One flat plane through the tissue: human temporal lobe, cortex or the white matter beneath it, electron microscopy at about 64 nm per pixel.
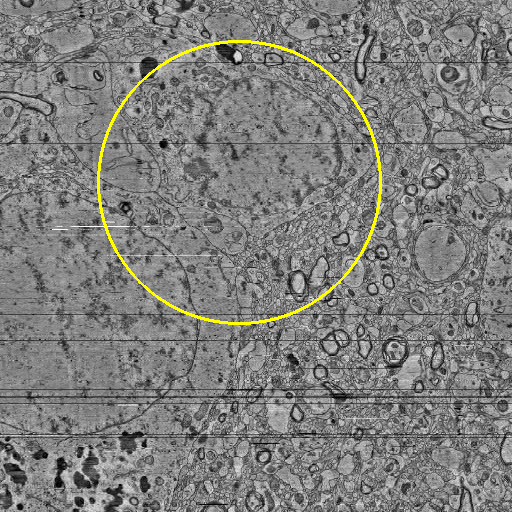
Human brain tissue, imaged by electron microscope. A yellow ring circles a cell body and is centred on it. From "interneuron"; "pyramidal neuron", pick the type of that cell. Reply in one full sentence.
The cell body at the centre of the yellow ring belongs to an interneuron.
